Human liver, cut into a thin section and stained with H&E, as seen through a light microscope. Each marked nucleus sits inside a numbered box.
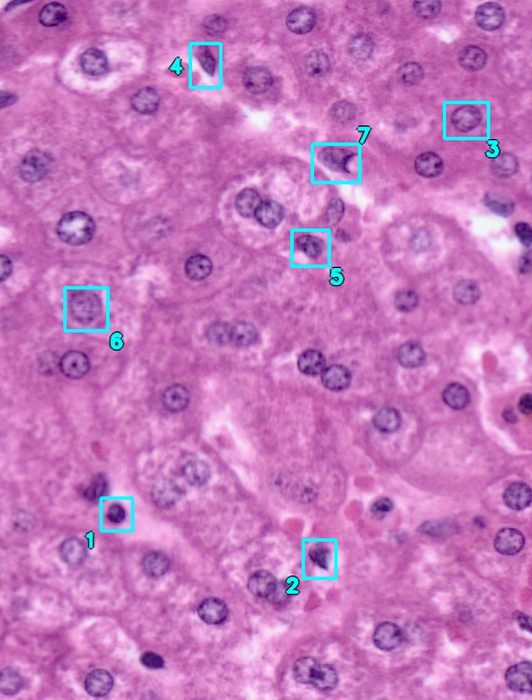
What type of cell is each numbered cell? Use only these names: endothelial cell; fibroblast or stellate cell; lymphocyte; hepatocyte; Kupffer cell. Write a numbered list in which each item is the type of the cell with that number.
1. lymphocyte
2. endothelial cell
3. hepatocyte
4. endothelial cell
5. Kupffer cell
6. hepatocyte
7. Kupffer cell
